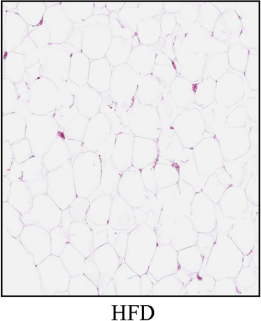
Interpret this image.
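The field is filled with large, empty-looking polygonal spaces packed tightly together, each bounded by a very thin pale pink rim, giving a honeycomb or chicken-wire pattern. Nuclei are scarce: only a few small, dark purple, flattened nuclei sit pressed against the cell borders, mostly at the corners where several cells meet. There is almost no cytoplasm to see and little tissue between the cells.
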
